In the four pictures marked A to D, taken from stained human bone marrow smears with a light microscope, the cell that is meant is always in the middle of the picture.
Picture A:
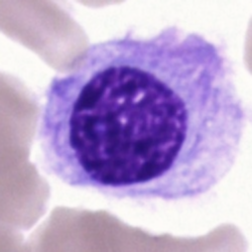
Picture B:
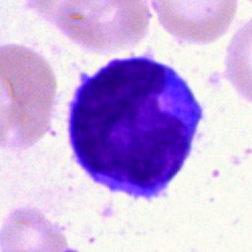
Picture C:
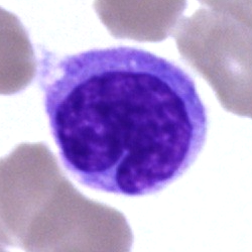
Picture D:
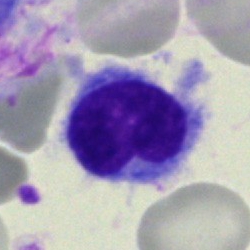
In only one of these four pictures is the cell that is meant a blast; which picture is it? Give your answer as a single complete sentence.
The picture with the blast is B.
